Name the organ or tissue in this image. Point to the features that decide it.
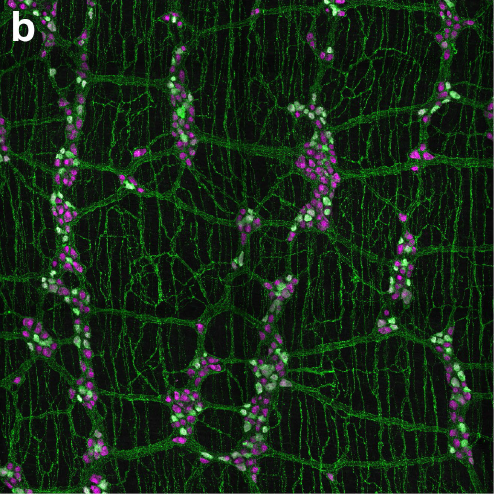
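Myenteric plexus. Elongated clusters of magenta cell bodies form ganglia. Ganglia are linked by a network of green fibre bundles. The preparation is a flat sheet seen en face.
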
